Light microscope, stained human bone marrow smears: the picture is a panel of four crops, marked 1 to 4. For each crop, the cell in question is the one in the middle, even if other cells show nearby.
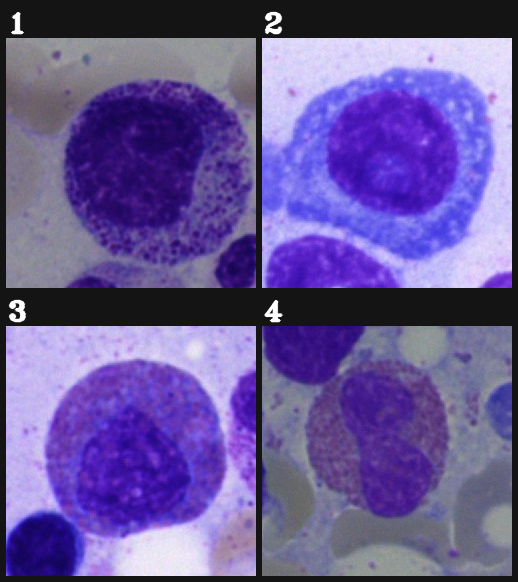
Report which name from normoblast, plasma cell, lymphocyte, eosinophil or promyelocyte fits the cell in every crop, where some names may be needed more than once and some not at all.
1: promyelocyte
2: plasma cell
3: eosinophil
4: eosinophil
